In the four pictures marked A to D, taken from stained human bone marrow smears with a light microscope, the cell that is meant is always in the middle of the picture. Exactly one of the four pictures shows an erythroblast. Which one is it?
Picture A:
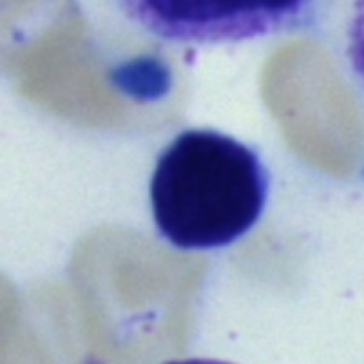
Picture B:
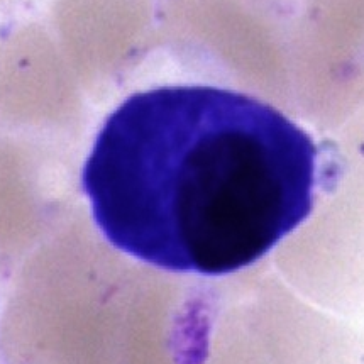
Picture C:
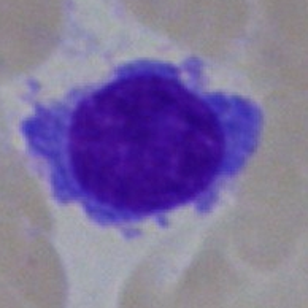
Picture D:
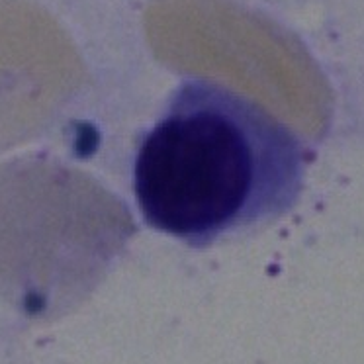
D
